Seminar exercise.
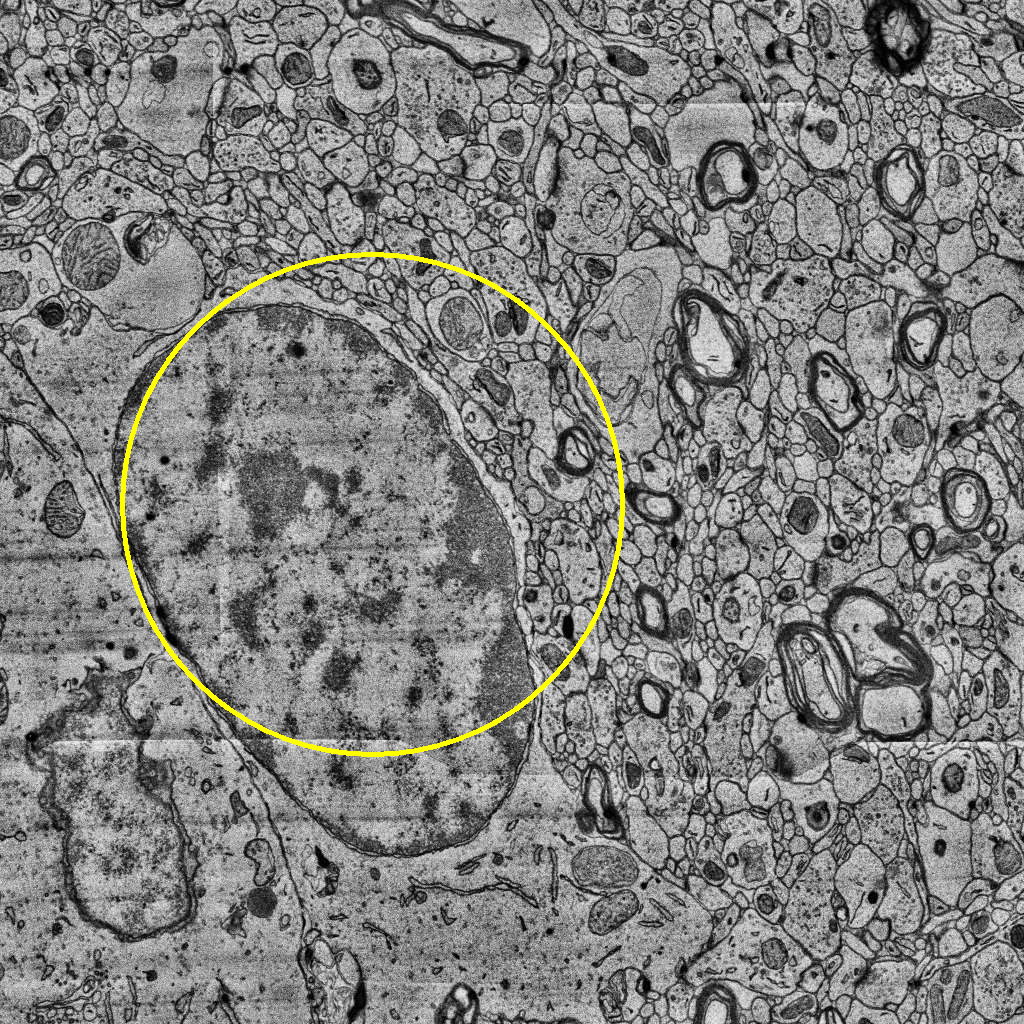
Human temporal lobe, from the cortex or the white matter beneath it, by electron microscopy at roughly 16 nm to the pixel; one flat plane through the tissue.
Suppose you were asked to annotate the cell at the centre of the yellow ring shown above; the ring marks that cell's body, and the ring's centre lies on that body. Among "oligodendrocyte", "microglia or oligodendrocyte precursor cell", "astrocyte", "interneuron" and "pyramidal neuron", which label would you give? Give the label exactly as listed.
microglia or oligodendrocyte precursor cell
